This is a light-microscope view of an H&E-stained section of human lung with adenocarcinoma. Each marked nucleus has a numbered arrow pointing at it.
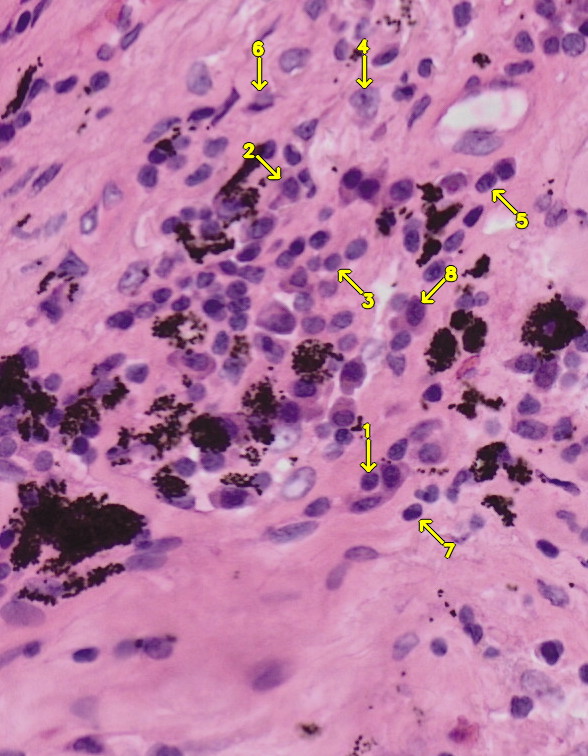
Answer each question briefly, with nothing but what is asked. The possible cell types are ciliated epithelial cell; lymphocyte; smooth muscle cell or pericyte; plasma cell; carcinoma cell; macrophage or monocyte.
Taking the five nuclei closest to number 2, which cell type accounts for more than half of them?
lymphocyte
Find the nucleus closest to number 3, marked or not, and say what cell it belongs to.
lymphocyte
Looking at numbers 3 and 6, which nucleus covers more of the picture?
6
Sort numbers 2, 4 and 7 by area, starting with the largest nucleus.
4, 2, 7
